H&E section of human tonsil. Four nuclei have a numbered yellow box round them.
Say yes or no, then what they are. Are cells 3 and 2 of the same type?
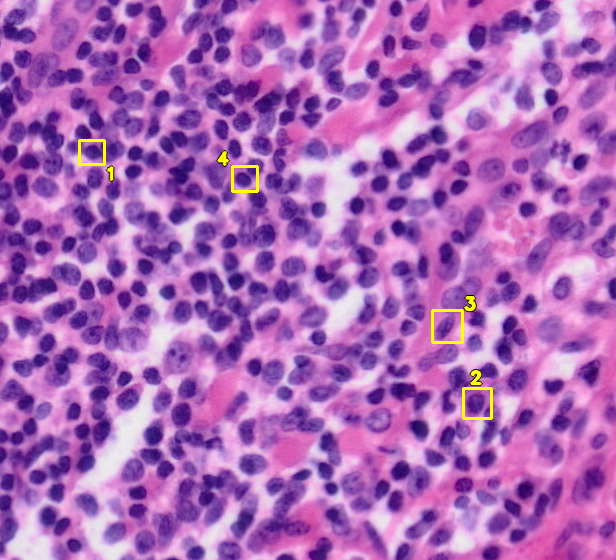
No, cell 3 is an endothelial cell and cell 2 is a plasma cell.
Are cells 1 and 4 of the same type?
Yes, both are small lymphocytes.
